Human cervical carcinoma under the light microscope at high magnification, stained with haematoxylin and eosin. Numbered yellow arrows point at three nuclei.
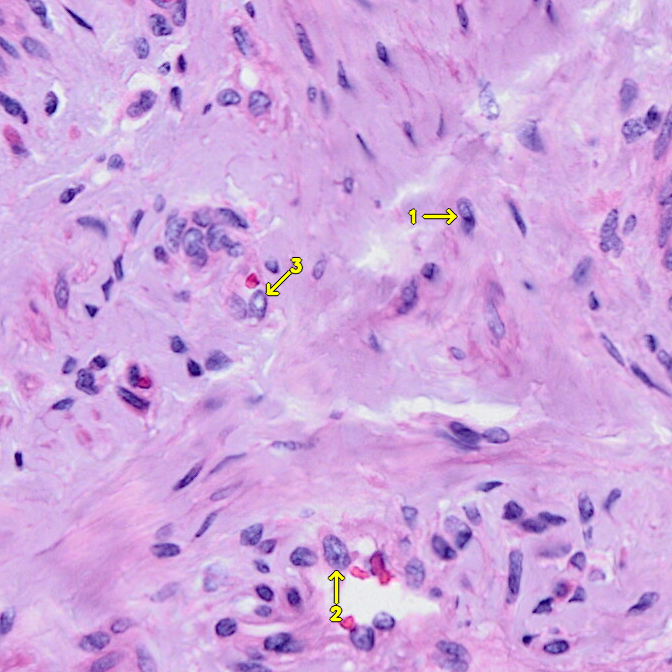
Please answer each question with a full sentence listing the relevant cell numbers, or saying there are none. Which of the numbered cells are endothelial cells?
Cells 2 and 3 share one type; they are endothelial cells.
